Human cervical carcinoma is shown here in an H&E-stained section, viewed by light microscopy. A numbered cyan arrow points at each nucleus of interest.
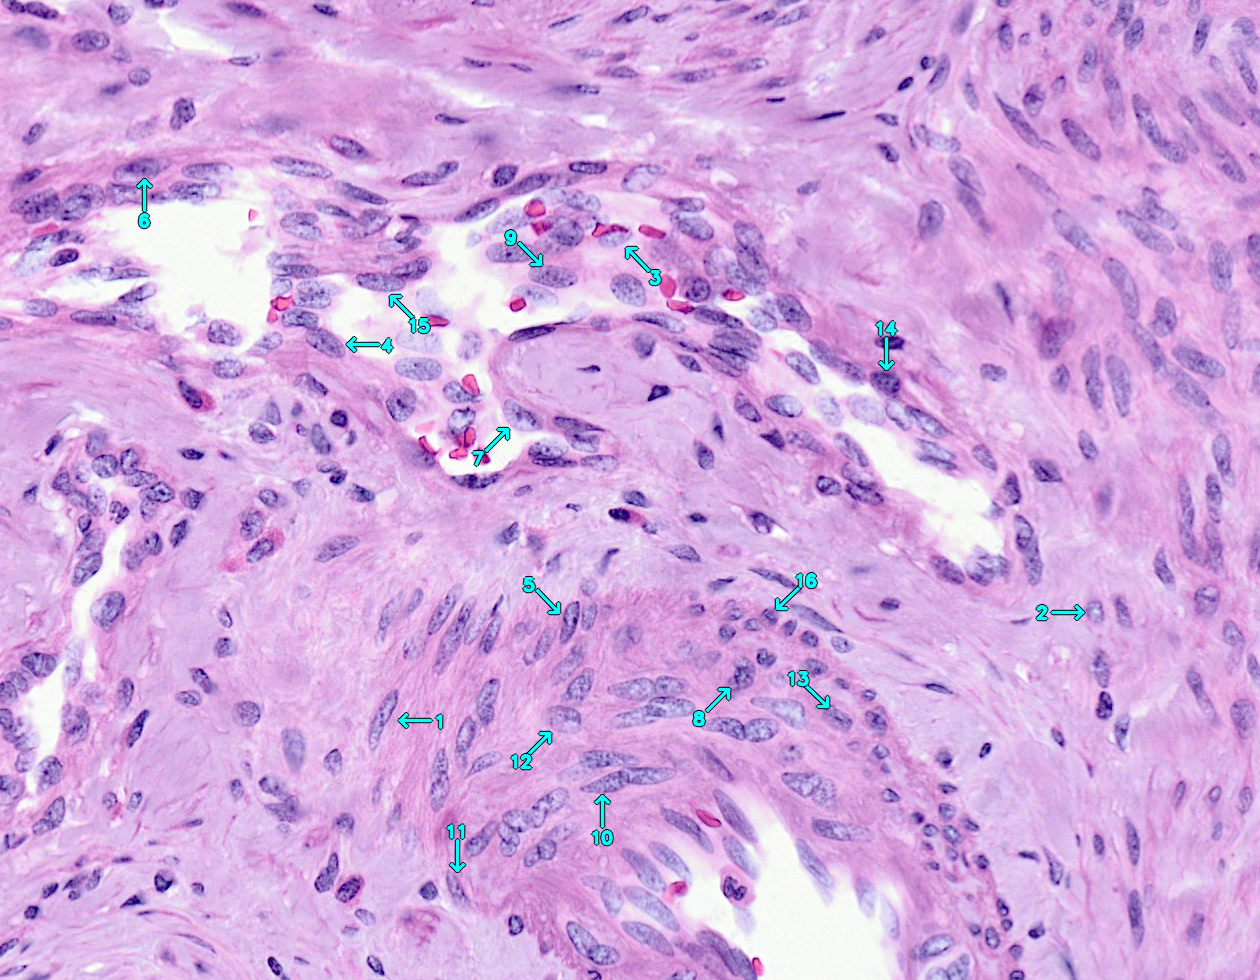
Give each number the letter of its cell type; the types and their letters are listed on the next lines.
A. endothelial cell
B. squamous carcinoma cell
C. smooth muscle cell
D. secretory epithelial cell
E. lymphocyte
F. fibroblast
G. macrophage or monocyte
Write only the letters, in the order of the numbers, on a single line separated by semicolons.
C; C; A; A; C; A; A; C; A; C; C; C; C; A; A; C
